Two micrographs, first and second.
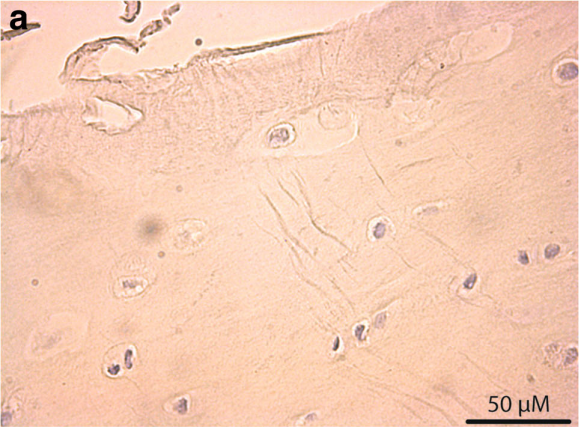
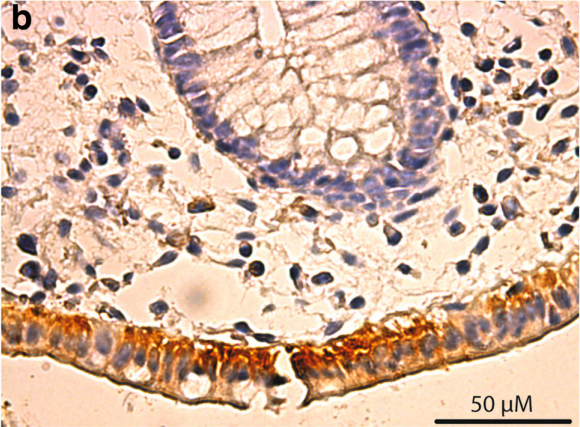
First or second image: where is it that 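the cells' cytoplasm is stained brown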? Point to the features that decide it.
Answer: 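First image: cells and matrix are pale with no brown colour. Second image: the cytoplasm of the lower epithelial layer is strongly brown. That points to this answer: the second image.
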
